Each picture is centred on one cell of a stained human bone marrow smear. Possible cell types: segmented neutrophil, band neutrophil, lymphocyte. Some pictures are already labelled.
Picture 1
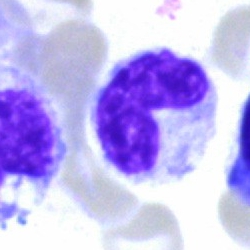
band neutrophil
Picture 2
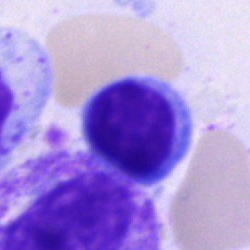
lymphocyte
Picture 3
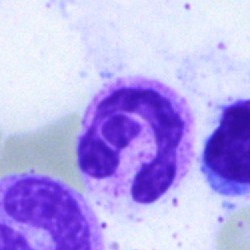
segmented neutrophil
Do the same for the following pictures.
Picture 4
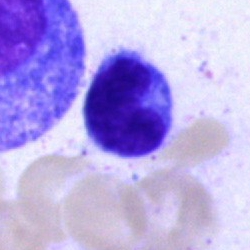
lymphocyte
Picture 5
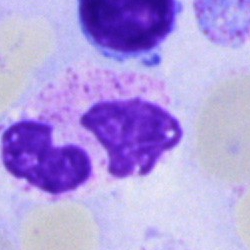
segmented neutrophil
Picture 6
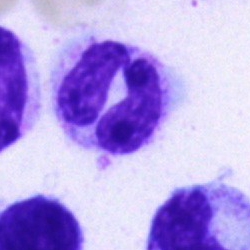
segmented neutrophil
